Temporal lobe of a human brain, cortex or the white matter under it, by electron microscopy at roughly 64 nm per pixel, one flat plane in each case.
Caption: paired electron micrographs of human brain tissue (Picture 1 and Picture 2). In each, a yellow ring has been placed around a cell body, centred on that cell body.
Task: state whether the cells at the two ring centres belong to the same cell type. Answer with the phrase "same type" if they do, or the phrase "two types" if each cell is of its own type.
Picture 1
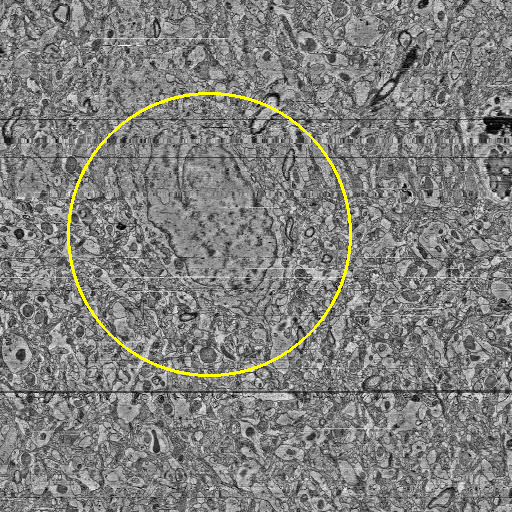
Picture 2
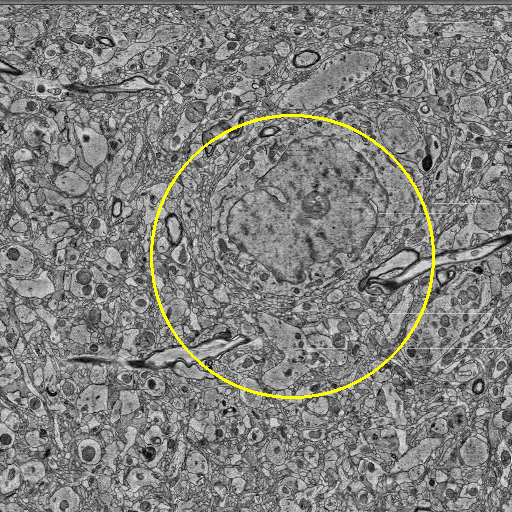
same type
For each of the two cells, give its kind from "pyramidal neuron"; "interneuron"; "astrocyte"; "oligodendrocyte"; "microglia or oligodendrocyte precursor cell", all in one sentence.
Each cell at the centre of a ring is an interneuron.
